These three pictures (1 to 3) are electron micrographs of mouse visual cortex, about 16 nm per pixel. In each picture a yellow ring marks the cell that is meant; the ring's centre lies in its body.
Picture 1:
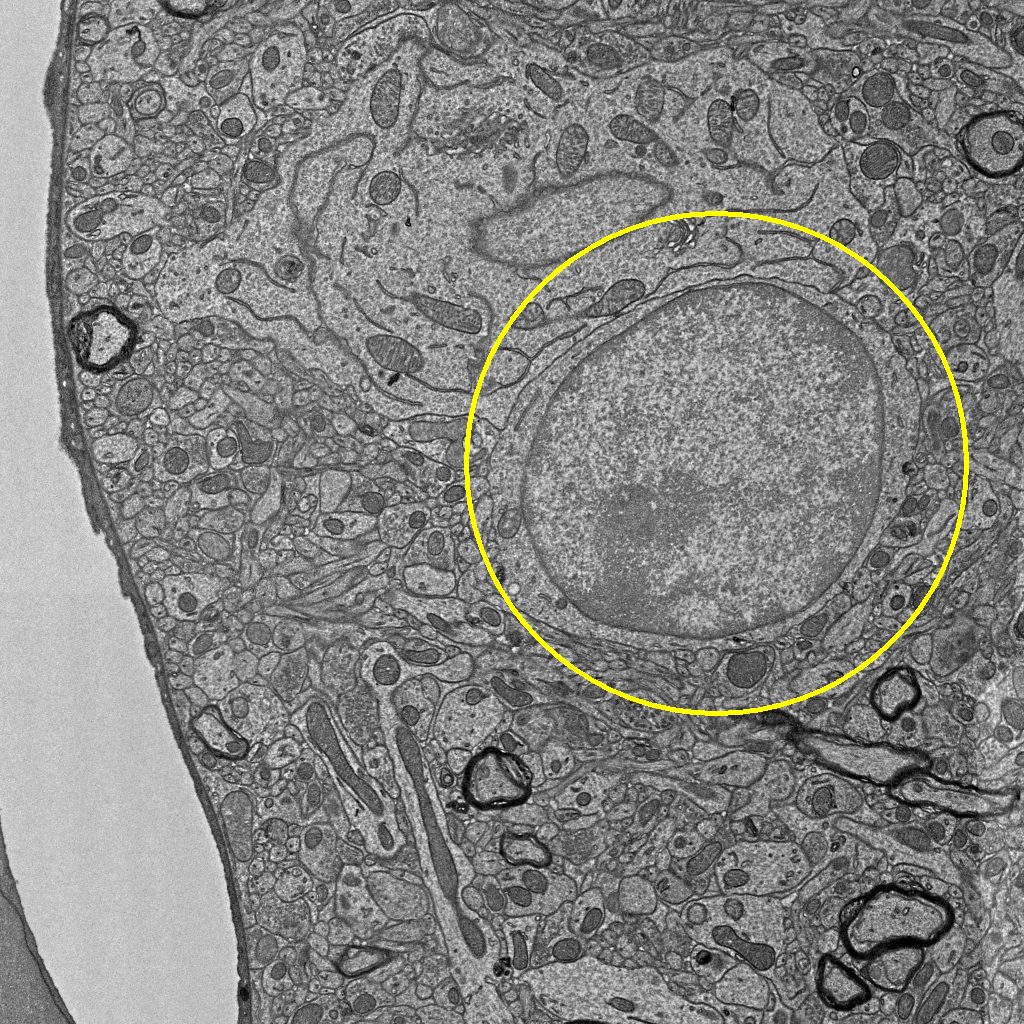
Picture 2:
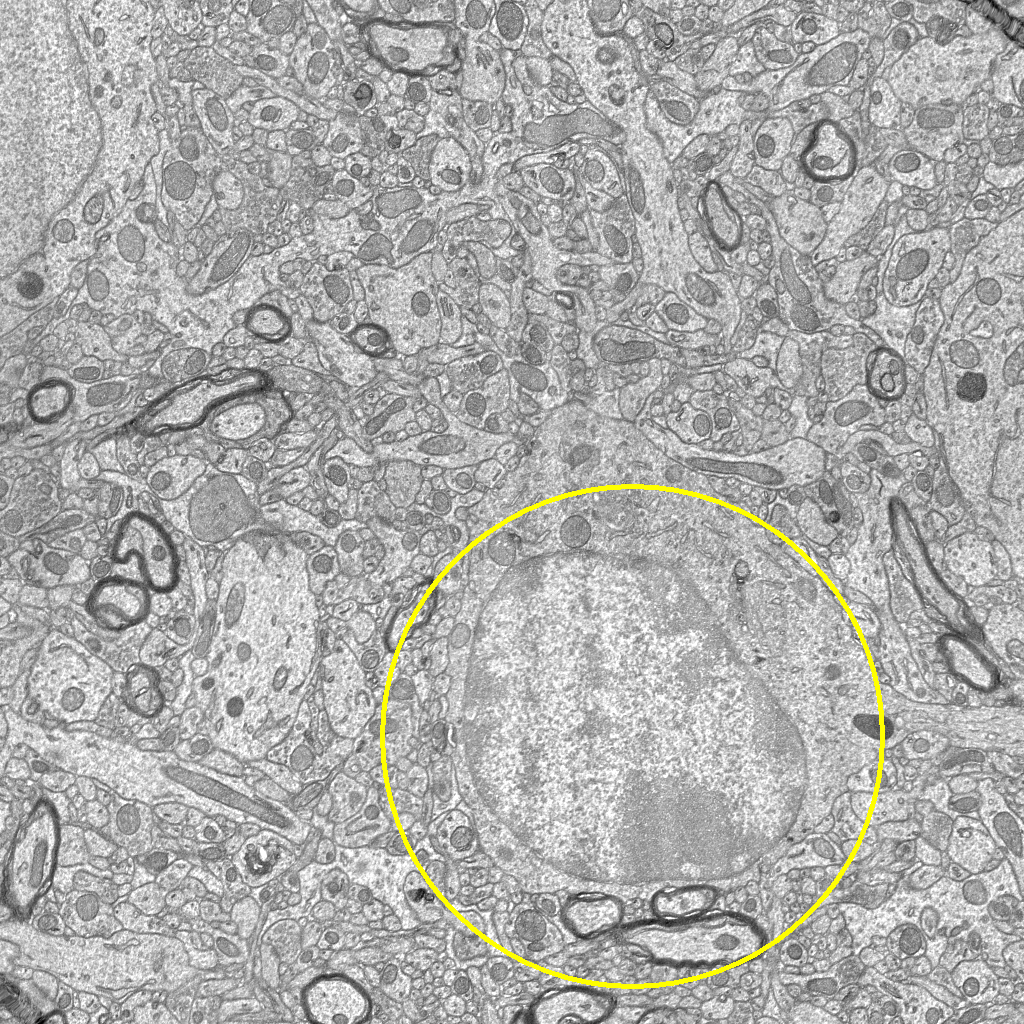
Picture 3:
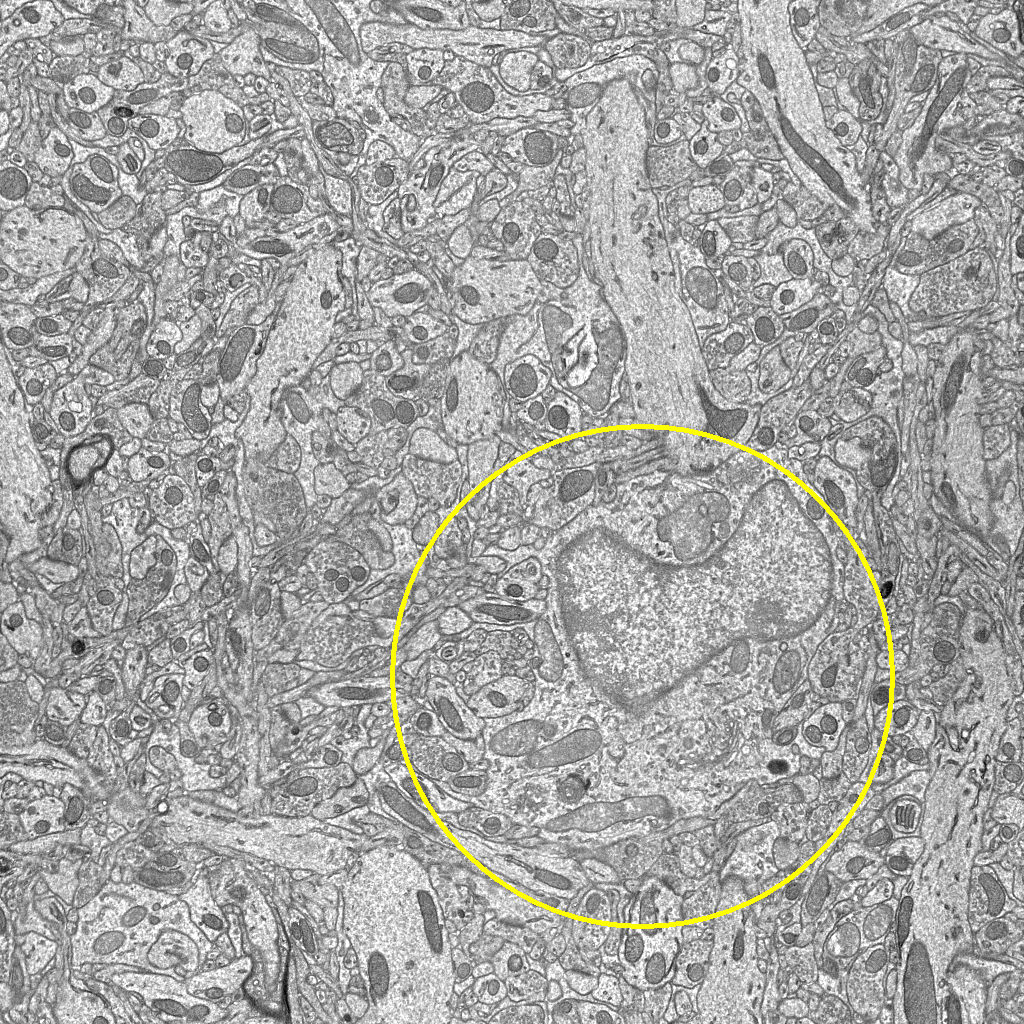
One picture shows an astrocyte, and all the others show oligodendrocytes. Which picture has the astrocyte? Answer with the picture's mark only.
3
